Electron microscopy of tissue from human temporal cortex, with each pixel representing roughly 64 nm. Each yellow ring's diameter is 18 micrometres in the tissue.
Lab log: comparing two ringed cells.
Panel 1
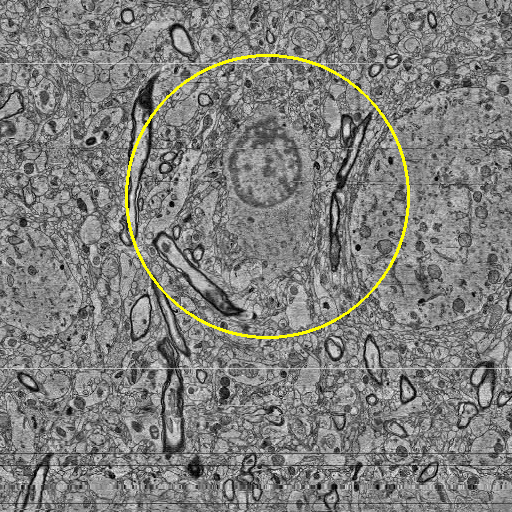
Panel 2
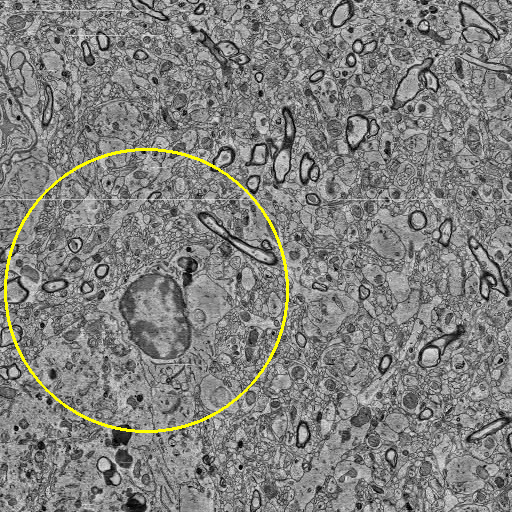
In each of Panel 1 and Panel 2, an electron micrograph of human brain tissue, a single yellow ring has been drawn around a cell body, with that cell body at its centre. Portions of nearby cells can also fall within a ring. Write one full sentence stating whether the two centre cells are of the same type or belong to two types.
The cells at the ring centres in Panel 1 and Panel 2 belong to two types.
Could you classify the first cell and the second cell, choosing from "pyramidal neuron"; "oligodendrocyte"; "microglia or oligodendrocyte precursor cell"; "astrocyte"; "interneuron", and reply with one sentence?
The second cell is a microglial cell or oligodendrocyte precursor cell, while the first is an oligodendrocyte.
